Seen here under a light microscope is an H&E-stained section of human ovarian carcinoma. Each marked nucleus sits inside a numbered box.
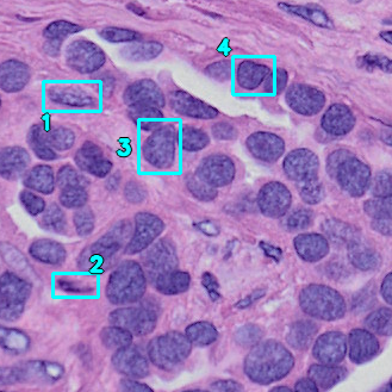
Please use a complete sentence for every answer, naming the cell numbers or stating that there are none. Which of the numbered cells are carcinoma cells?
The cells given the numbers 3 and 4 are carcinoma cells.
